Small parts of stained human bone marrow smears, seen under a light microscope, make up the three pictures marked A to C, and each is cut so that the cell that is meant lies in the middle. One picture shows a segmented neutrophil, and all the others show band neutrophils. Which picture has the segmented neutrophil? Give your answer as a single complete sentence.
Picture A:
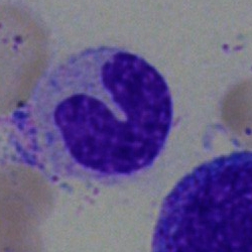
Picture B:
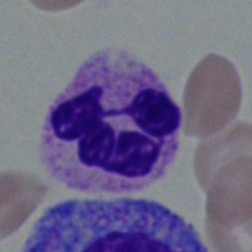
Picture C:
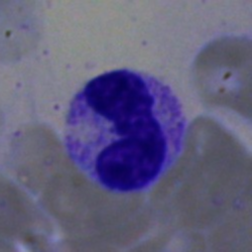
It is picture B that shows the segmented neutrophil.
